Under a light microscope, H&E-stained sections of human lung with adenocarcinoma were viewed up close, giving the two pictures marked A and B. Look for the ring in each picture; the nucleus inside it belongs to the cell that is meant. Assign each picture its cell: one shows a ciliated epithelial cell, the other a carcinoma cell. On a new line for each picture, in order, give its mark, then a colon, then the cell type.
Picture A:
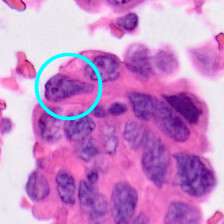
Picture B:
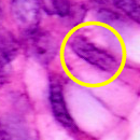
A: carcinoma cell
B: ciliated epithelial cell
